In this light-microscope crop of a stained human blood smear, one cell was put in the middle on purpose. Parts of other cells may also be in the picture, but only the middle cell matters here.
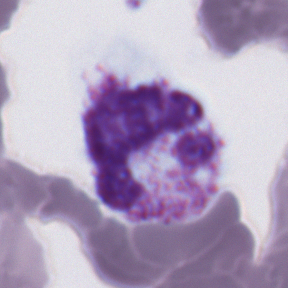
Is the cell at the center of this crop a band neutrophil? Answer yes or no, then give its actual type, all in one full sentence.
No, the central cell is classed as a segmented neutrophil, not a band neutrophil.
